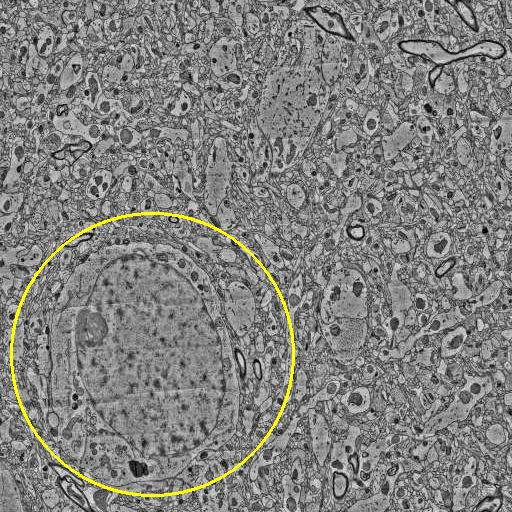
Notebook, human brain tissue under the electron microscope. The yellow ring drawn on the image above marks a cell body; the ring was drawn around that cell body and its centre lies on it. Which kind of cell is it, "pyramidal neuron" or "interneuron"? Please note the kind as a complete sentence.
The marked cell body is that of an interneuron.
